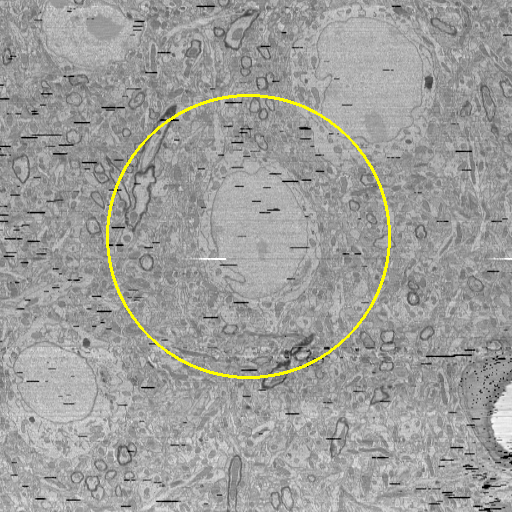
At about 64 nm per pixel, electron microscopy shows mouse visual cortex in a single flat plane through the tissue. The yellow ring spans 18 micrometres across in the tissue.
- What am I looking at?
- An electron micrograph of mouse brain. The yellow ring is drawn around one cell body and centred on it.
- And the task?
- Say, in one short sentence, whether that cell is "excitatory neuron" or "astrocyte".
The cell in the middle of the ring is an excitatory neuron.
